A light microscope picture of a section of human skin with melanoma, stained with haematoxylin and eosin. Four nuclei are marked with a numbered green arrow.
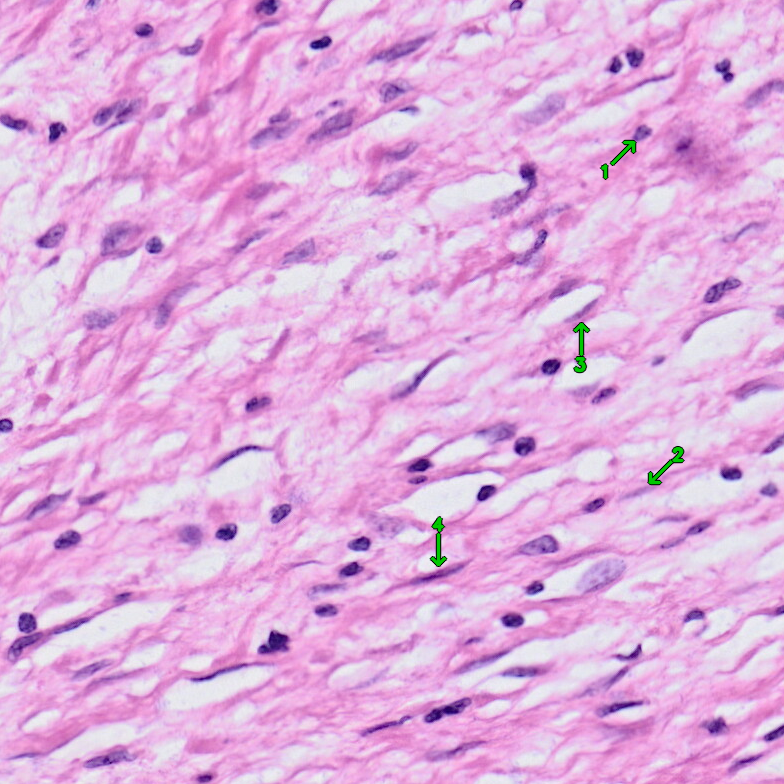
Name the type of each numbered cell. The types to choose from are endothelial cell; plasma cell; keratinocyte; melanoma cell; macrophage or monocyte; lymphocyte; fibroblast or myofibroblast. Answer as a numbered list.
1. lymphocyte
2. fibroblast or myofibroblast
3. fibroblast or myofibroblast
4. fibroblast or myofibroblast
